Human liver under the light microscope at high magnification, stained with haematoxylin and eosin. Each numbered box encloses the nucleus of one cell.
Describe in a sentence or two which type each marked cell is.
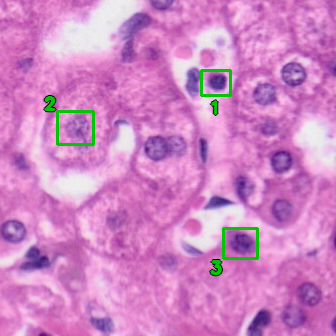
Cell 1 is a lymphocyte, cell 2 is a hepatocyte and cell 3 is a Kupffer cell.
